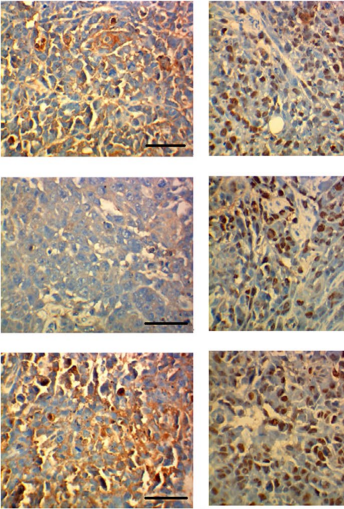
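This is a solid tumour made of crowded, irregularly shaped cells with large, variably sized nuclei and little organised architecture, counterstained blue. In the left column brown stain lies diffusely in the cytoplasm of many cells, stronger in the top and bottom rows than in the middle row. In the right column brown stain sits on many of the nuclei, which appear as dark round or oval spots among paler blue nuclei. Thin strands of fibrous tissue with elongated nuclei cross between the tumour cells in places.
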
